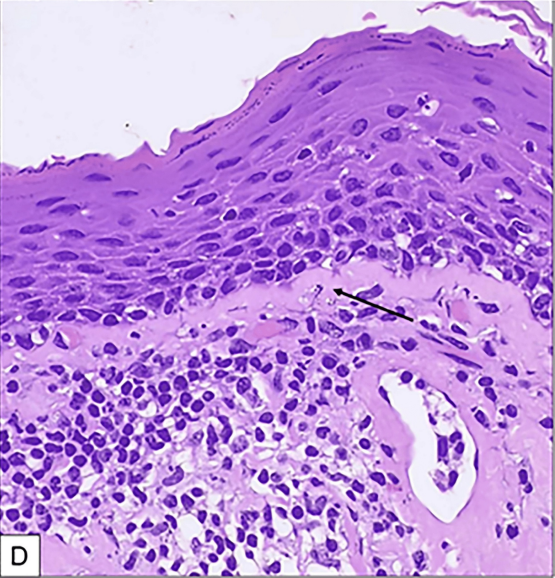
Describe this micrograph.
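Here is the epidermis of skin above a thin glassy band of dermis and a dense band of lymphocytes. The epidermis at the top is made of keratinocytes with oval nuclei in pink cytoplasm, flattening toward the surface. Directly under it lies a narrow zone of smooth, pale pink, almost cell-free papillary dermis, homogenized in appearance. Beneath that zone is a crowded collection of small round cells with dark, dense nuclei and scant cytoplasm, lymphocytes lying in a band parallel to the surface. A small blood vessel with an open lumen sits among them.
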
